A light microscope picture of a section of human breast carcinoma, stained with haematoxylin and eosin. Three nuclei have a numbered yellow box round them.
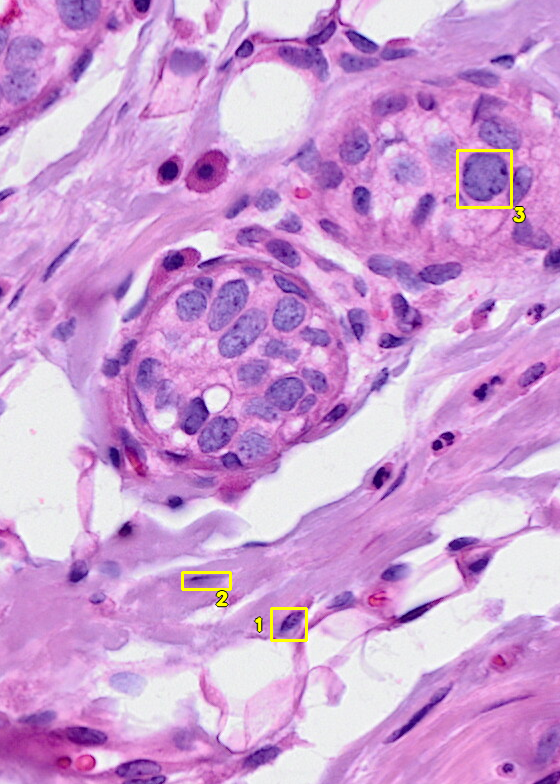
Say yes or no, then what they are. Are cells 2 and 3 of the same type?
No, sorry, cell 2 is a fibroblast and cell 3 is a carcinoma cell.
